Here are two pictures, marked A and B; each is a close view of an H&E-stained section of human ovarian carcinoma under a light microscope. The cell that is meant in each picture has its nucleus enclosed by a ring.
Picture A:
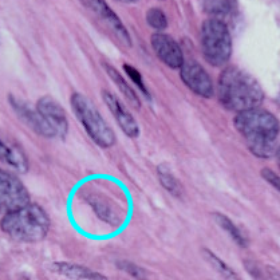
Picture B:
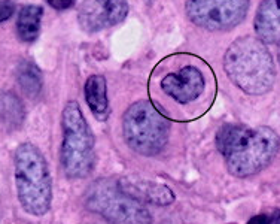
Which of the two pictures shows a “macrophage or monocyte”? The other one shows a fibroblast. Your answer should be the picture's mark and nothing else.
B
